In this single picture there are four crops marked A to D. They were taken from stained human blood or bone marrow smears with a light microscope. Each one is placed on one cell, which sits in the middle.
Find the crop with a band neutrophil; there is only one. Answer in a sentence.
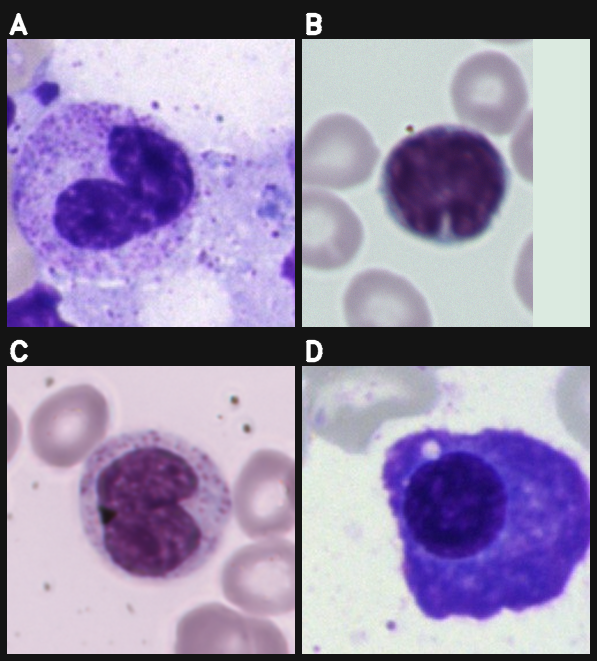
When the crops are compared, crop A is the one showing a band neutrophil.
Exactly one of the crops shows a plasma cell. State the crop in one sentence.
The crop with a plasma cell at its center is crop D.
